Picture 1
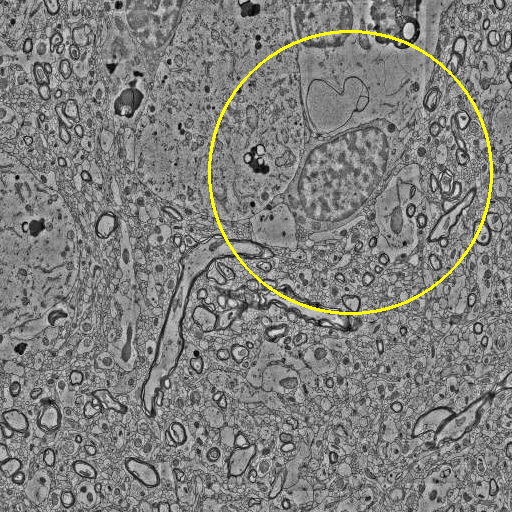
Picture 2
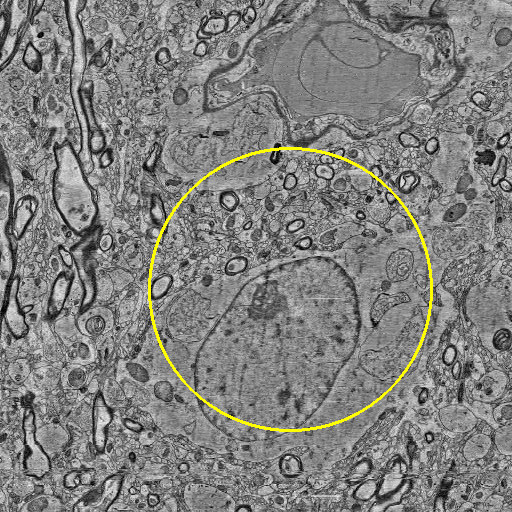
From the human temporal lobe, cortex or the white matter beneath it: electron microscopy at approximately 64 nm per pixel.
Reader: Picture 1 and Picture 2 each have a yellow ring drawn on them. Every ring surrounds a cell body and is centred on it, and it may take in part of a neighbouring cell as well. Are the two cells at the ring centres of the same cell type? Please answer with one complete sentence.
No, the cells are of two cell types.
